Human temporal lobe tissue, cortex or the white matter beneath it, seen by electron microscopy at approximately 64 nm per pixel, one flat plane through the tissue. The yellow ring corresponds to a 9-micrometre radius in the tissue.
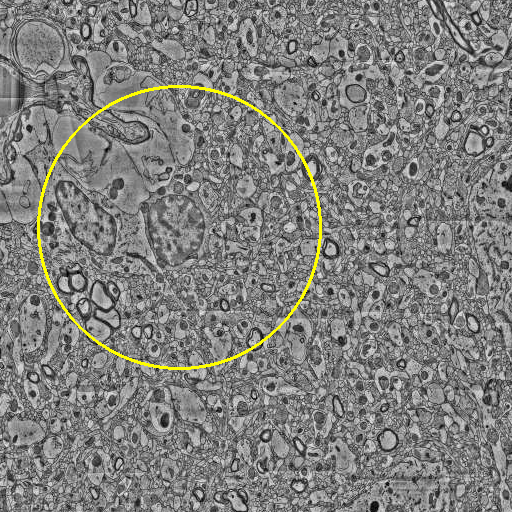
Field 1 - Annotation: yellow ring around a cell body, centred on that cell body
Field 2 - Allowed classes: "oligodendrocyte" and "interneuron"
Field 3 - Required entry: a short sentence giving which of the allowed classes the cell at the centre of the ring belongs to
The centred cell is an oligodendrocyte.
